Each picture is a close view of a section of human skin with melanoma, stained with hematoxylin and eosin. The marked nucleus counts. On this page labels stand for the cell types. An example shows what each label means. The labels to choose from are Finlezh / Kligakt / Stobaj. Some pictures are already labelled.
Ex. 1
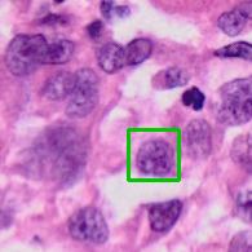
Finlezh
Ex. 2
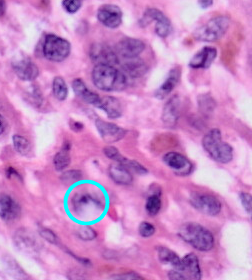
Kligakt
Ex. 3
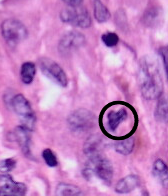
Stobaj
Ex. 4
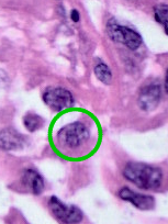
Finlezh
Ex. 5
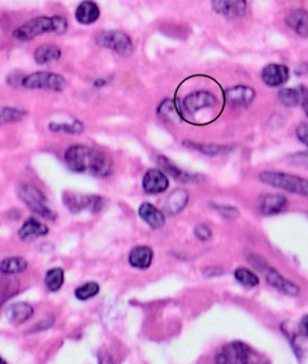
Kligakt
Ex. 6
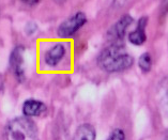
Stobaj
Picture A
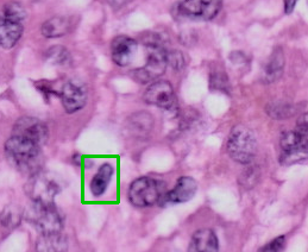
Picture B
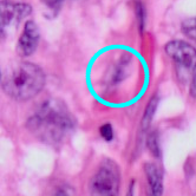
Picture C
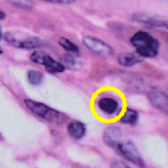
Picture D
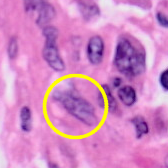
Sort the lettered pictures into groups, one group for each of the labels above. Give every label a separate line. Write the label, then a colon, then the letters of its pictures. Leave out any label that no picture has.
Kligakt: B, D
Stobaj: A, C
